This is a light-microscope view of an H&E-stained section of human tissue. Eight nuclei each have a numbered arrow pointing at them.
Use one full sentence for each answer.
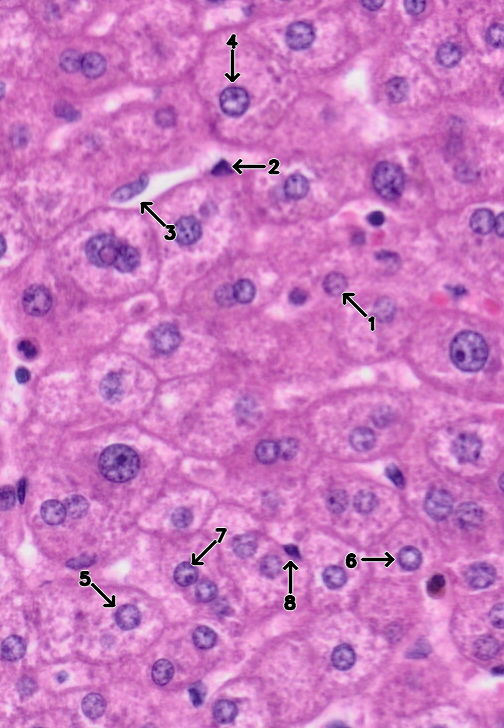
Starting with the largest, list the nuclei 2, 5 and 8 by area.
Largest first, the order by area is 5, 2, 8.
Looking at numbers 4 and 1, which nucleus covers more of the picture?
At about 2 times the area of nucleus 1, nucleus 4 is the larger of the two.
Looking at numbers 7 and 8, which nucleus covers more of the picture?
Nucleus 7 is the larger one, covering about 2.5 times the area of nucleus 8.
